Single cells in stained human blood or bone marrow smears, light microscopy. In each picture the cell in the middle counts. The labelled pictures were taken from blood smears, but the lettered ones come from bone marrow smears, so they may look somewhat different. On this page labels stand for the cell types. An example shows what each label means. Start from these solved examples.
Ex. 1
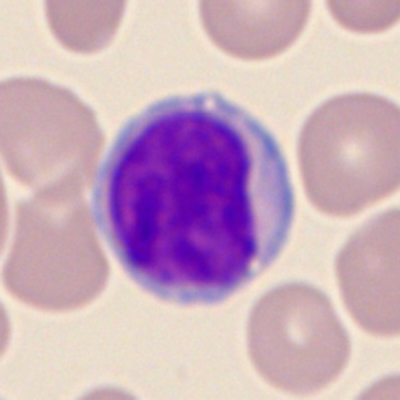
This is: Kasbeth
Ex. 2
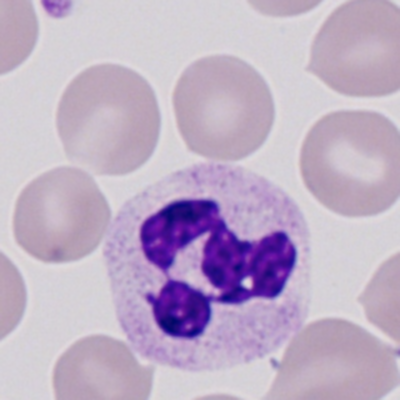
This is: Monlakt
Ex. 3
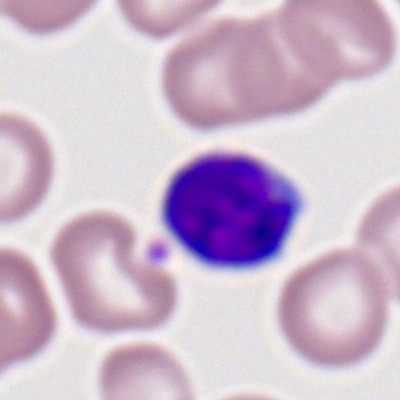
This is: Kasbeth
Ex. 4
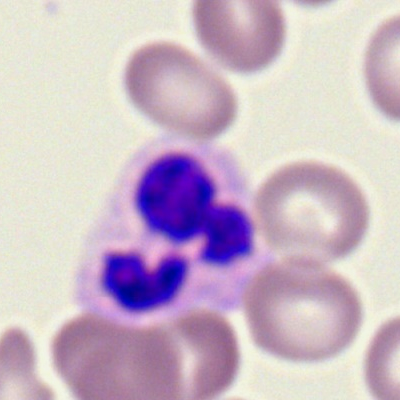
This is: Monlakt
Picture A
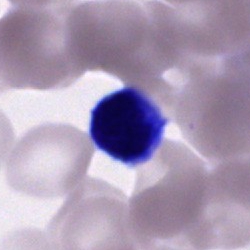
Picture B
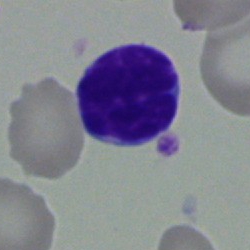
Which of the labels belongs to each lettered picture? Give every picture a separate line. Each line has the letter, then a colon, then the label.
A: Kasbeth
B: Kasbeth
